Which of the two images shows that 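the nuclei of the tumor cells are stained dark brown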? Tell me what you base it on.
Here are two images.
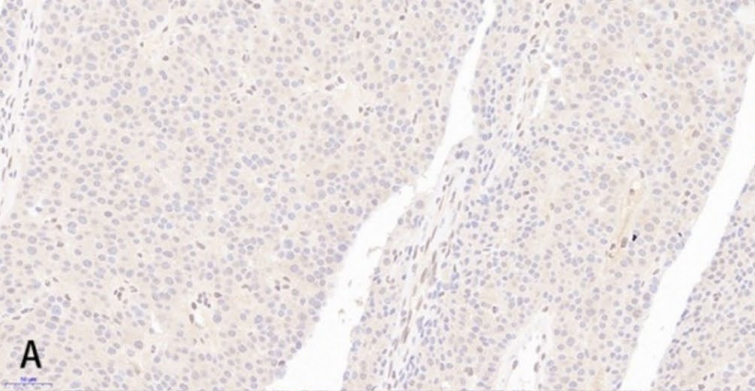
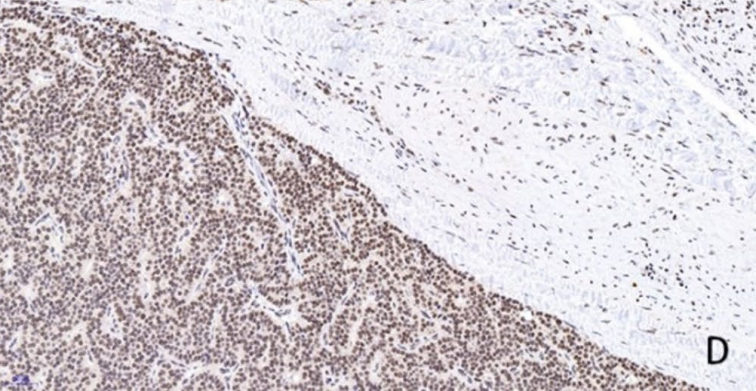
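The second image. Second image: nearly all nuclei in the sheet of tumor cells are dark brown. First image: the tumor cell nuclei are pale, with only faint beige background in the cells.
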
